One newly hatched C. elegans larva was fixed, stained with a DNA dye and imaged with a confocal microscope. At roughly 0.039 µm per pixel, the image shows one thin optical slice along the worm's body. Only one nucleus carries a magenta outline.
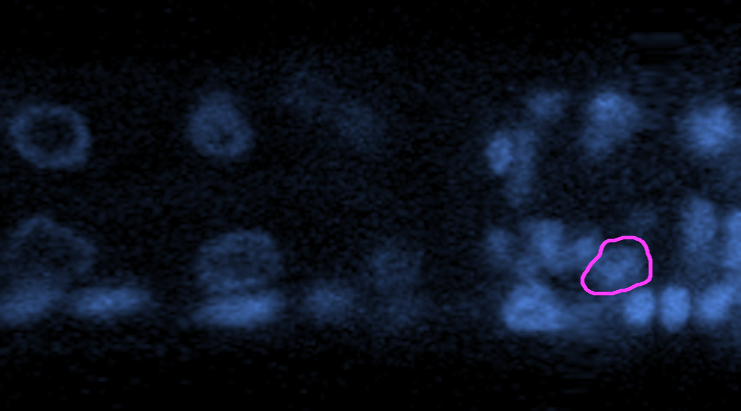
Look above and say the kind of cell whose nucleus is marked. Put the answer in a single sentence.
This nucleus is from a pharyngeal marginal cell.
